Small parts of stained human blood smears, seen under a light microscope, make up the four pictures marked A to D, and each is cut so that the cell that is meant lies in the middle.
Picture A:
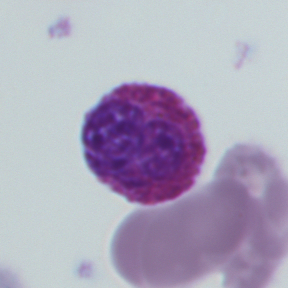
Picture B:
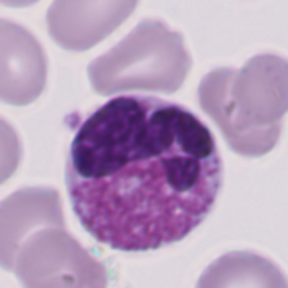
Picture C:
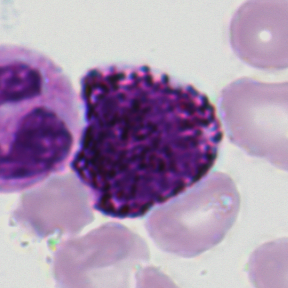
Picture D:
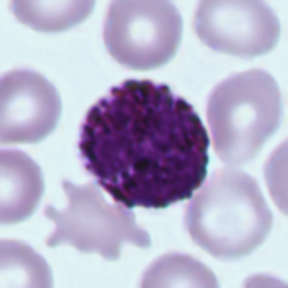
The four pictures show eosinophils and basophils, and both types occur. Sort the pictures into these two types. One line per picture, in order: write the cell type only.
eosinophil
eosinophil
basophil
basophil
